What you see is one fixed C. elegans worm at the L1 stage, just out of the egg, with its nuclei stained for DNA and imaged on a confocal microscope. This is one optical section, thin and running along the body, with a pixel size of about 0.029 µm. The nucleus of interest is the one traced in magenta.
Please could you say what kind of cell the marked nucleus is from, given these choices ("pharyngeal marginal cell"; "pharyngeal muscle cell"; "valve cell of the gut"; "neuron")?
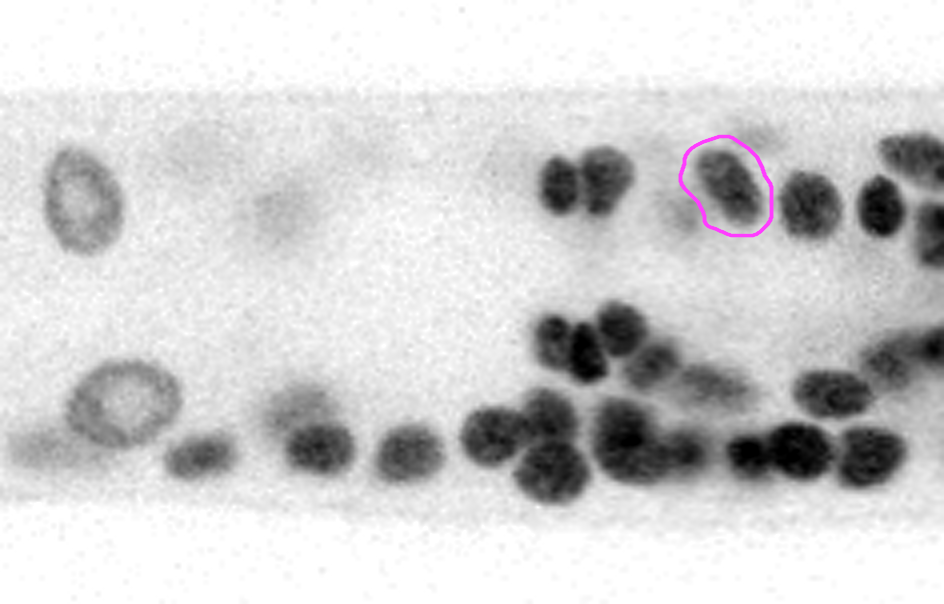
pharyngeal muscle cell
